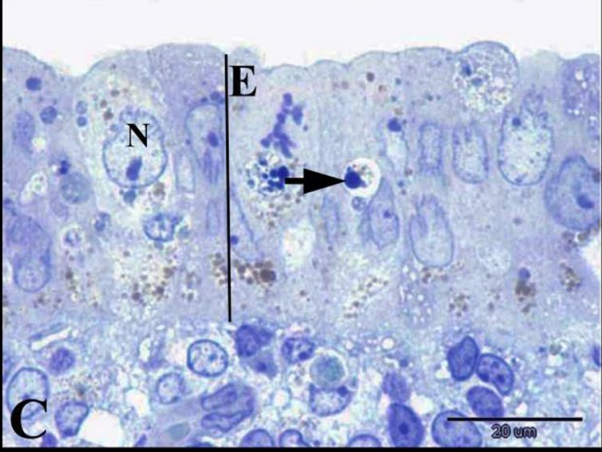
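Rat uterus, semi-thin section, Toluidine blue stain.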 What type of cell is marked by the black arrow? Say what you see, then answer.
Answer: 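A small dense dark blue round body lies in the epithelium. A clear space surrounds the dense body.
Hence: apoptotic cells.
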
